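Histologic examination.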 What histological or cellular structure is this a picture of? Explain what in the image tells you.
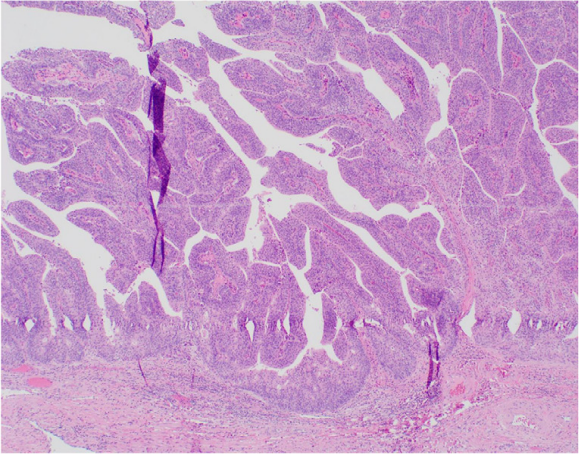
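Many elongated finger-like fronds branch and in places merge with one another. Each frond has a thin pale pink stromal centre covered by thick purple epithelium. The fronds rest on a band of pink stroma at the bottom of the field.
Answer: fused to branching fibrovascular cores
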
